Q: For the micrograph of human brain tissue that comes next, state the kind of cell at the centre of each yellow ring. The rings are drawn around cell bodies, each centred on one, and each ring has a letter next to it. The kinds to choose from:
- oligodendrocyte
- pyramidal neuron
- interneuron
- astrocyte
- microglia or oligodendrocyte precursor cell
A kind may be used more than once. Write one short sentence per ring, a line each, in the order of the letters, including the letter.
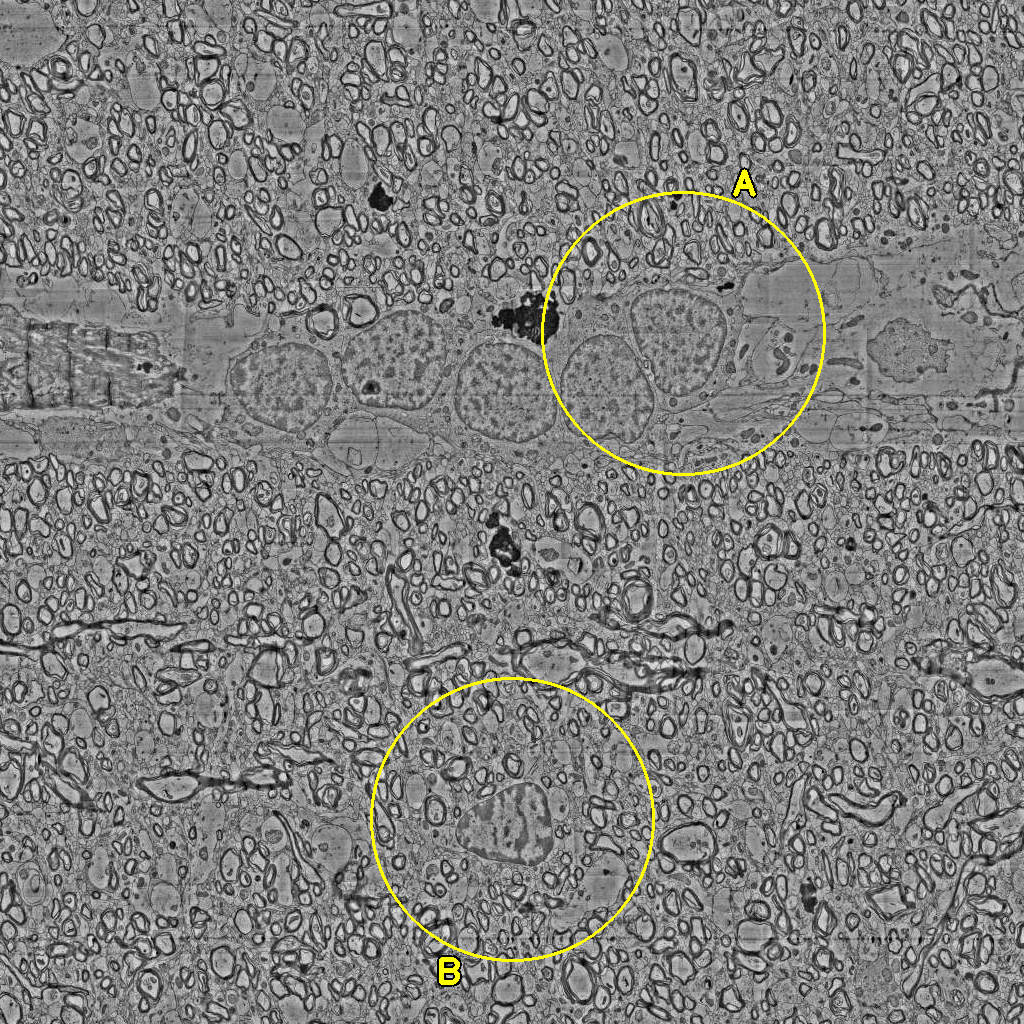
The cell ringed as A is an oligodendrocyte.
The cell ringed as B is a microglial cell or oligodendrocyte precursor cell.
